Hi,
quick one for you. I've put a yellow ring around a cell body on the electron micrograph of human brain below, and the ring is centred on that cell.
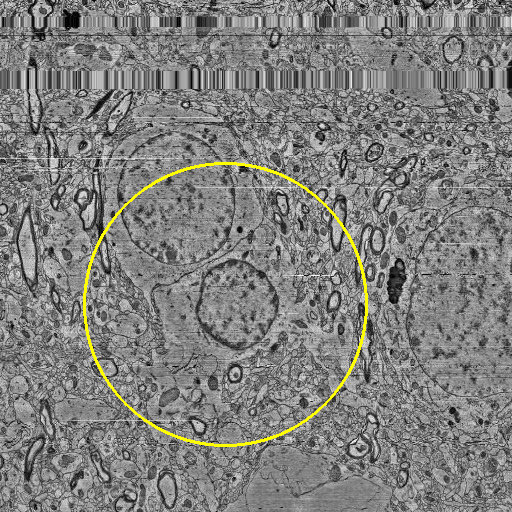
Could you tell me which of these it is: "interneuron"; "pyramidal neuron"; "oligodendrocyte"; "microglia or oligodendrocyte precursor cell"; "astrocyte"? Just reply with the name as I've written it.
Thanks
astrocyte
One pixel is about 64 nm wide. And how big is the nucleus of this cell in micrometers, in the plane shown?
Approximately 5 micrometres across, in this plane.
